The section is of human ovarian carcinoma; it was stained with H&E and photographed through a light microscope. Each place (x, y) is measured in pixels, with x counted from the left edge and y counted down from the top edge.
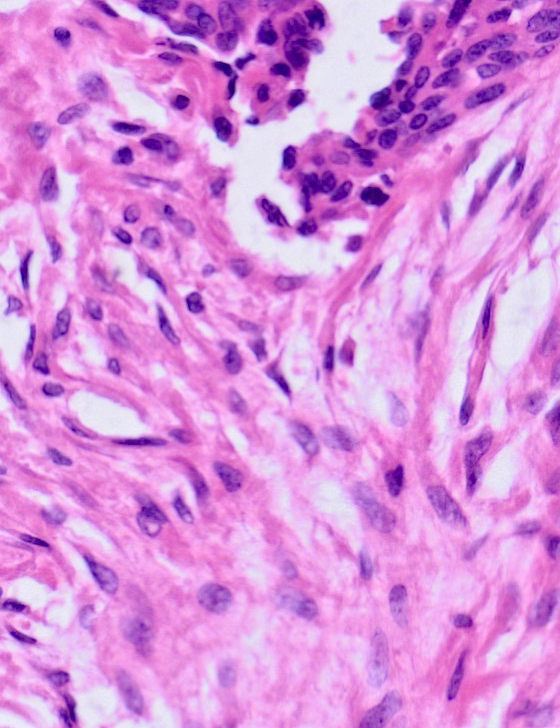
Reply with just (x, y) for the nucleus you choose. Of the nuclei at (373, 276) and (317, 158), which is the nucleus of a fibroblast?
(373, 276)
